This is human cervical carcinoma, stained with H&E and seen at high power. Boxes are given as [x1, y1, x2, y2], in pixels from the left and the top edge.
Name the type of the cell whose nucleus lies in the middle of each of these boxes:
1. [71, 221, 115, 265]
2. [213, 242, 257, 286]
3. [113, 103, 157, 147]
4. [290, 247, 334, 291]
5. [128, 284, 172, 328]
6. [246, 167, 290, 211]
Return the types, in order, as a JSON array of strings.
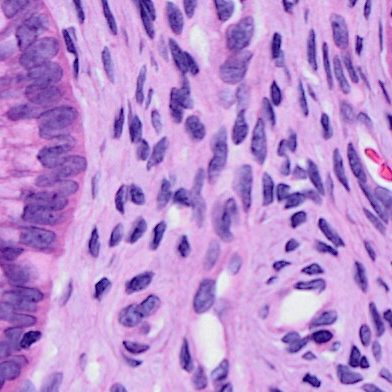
["fibroblast", "endothelial cell", "fibroblast", "fibroblast", "endothelial cell", "fibroblast"]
